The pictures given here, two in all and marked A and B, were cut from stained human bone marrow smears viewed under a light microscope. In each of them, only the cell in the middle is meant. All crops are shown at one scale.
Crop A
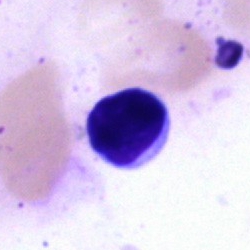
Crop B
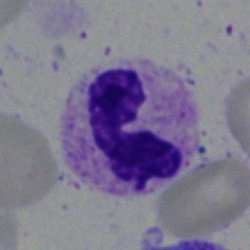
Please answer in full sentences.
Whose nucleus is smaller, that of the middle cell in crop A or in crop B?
The nucleus in crop A is smaller; the one in crop B has about 1.5 times its area.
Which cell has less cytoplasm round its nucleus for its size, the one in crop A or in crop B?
In crop A the nucleus takes up the larger part of its cell.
